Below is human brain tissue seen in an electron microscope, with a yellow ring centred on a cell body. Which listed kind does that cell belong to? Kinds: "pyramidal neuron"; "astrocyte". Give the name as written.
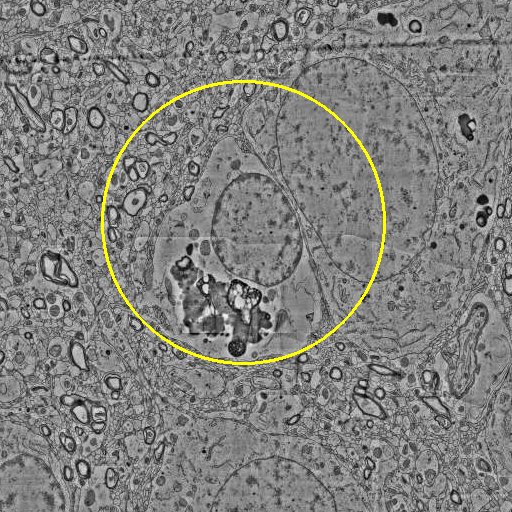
astrocyte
